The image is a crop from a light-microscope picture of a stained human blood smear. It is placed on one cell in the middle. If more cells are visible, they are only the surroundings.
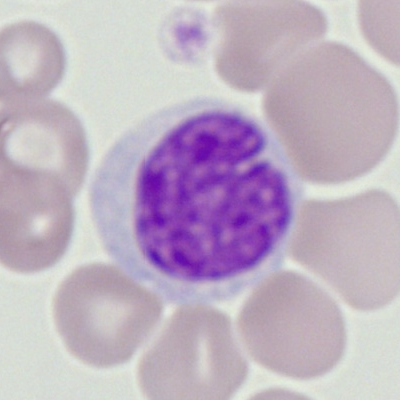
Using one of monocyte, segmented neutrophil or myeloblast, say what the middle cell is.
monocyte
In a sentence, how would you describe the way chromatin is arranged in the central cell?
In this nucleus, the chromatin is arranged in coarse clumps.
